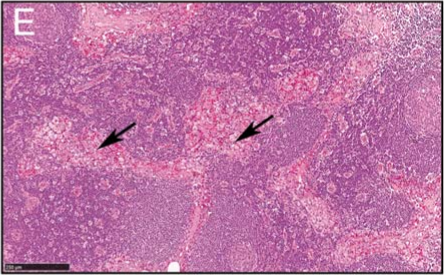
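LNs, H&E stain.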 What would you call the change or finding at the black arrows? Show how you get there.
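The arrows point into sinus channels between blue lymphoid areas. The channels contain pale larger cells.
Conclusion: sinusoidal pattern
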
